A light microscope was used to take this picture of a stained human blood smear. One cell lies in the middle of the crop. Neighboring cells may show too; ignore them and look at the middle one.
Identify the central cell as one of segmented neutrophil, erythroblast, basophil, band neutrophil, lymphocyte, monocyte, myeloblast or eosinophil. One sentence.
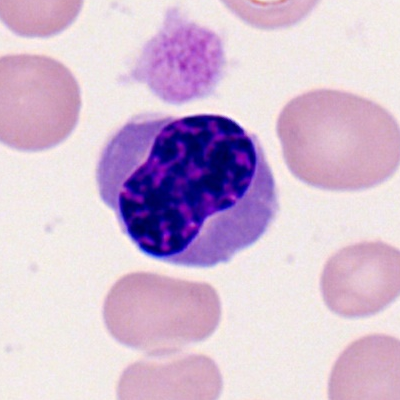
For this crop, the cell in the middle is an erythroblast.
